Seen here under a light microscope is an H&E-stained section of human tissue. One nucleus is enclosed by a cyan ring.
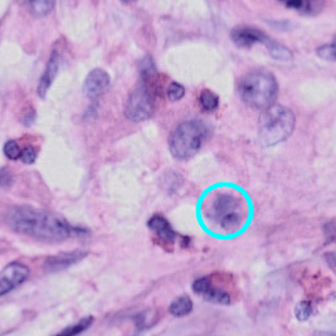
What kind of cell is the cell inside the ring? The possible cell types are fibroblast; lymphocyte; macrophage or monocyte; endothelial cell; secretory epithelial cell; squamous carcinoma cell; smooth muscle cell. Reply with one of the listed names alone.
macrophage or monocyte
